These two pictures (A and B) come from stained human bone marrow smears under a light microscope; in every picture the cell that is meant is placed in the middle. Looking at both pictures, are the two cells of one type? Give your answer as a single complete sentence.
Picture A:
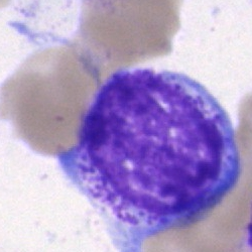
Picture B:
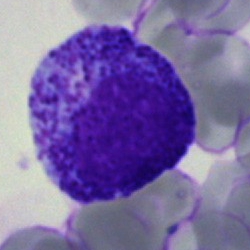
Yes, both cells are promyelocytes.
